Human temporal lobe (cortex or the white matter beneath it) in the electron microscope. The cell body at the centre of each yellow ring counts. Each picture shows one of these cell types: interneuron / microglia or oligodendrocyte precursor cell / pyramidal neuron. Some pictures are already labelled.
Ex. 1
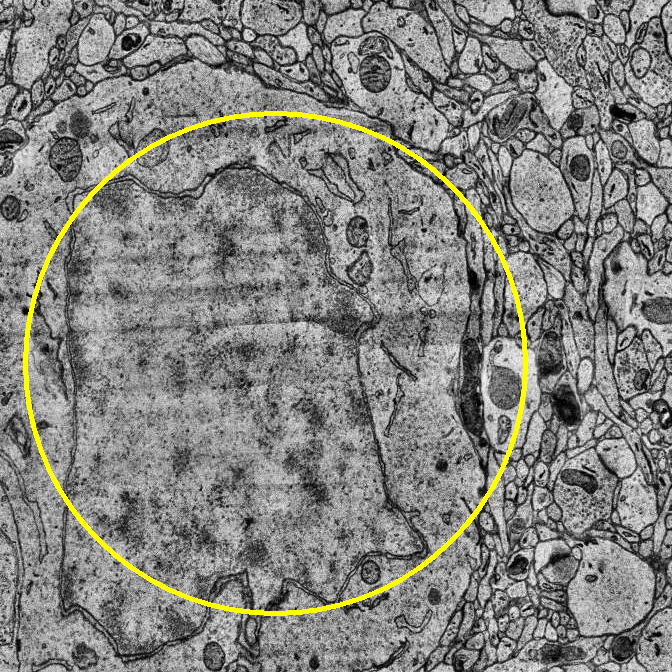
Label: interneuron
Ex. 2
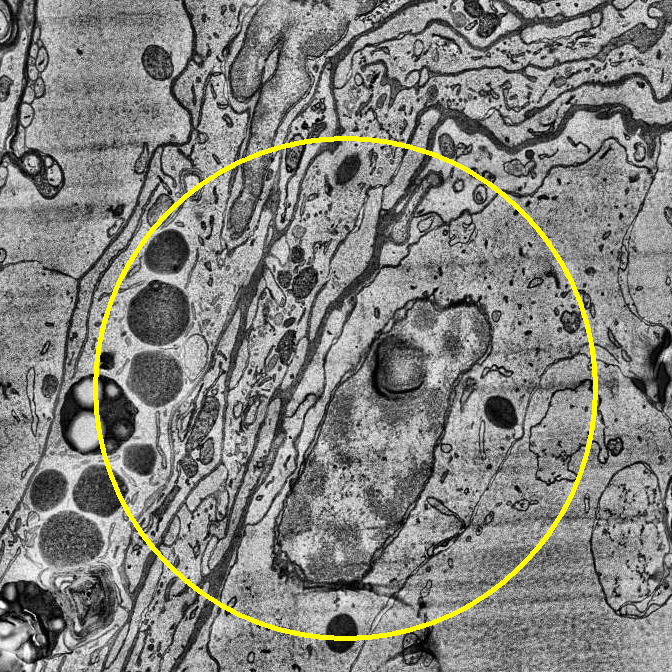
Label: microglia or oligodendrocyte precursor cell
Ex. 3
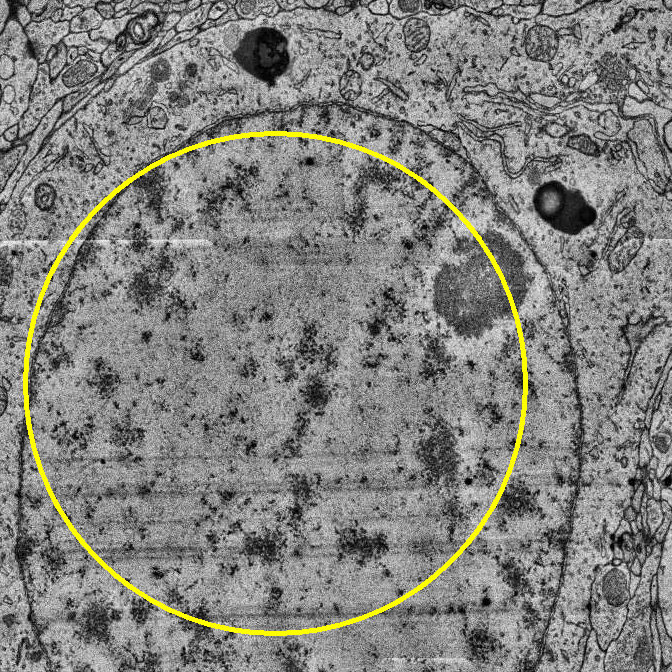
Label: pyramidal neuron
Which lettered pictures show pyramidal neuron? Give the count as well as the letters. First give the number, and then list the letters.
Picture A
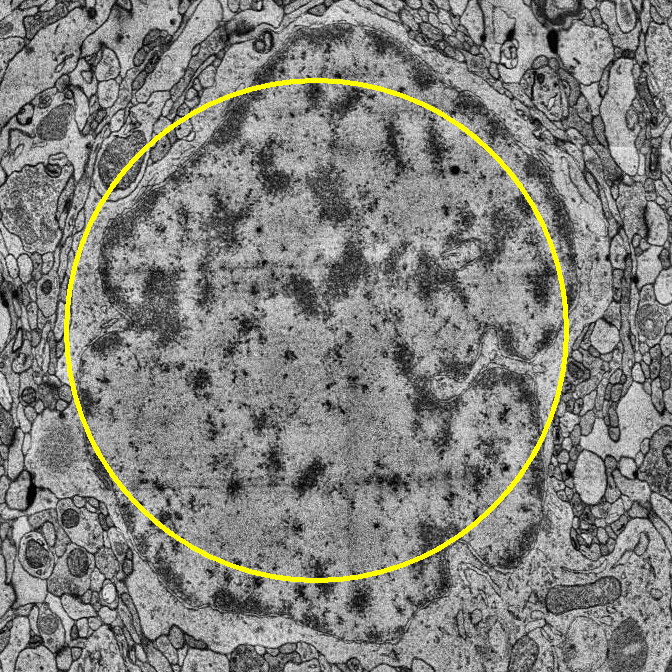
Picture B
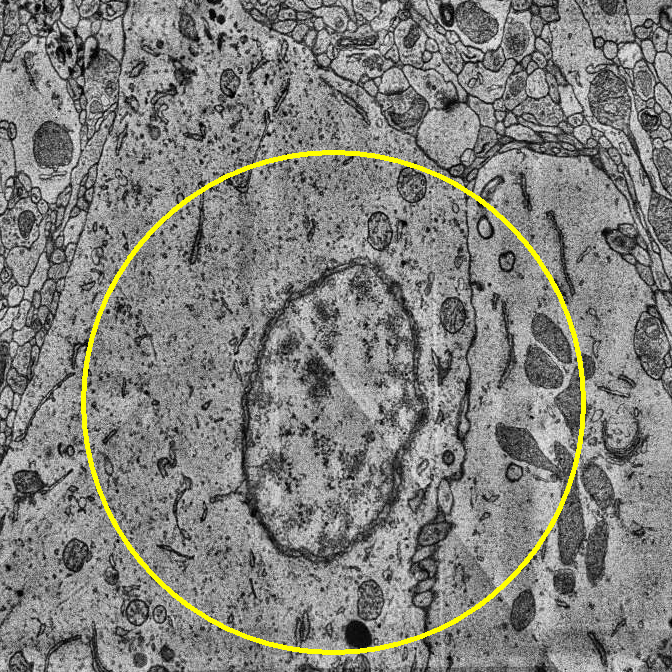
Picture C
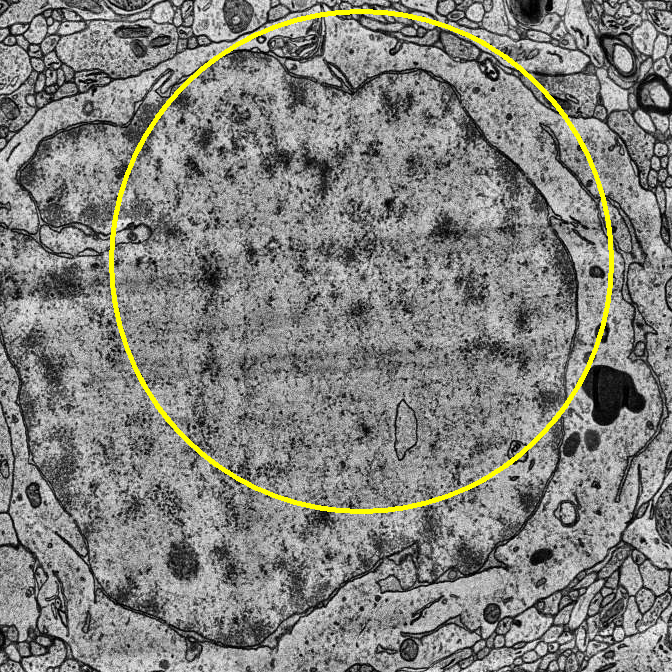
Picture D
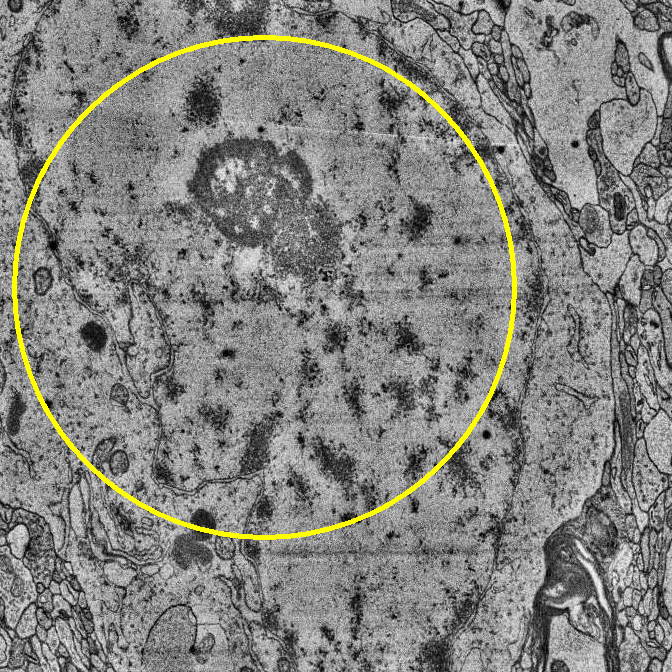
1, namely B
